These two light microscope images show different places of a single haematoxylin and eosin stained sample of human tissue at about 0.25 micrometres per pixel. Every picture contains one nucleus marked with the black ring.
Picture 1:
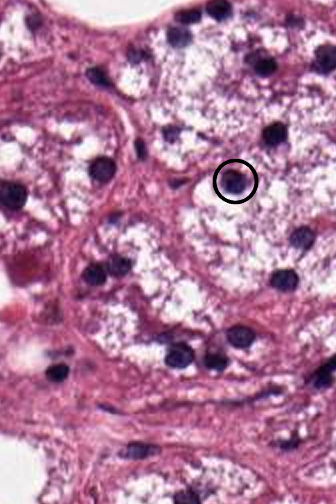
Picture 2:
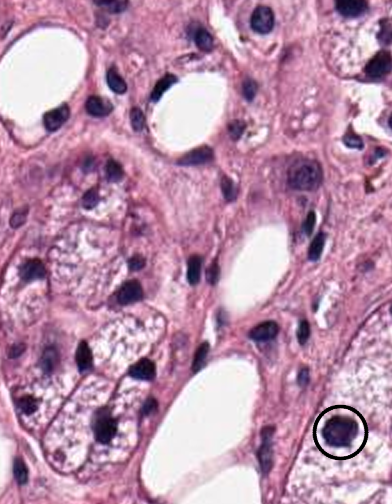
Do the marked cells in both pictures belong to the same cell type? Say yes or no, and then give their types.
Yes, both are adrenal cortical cells.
